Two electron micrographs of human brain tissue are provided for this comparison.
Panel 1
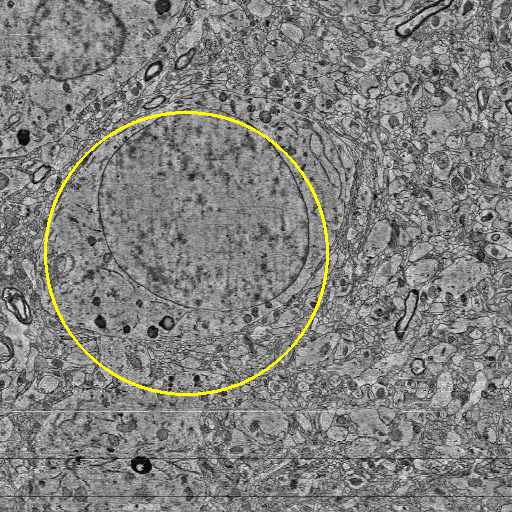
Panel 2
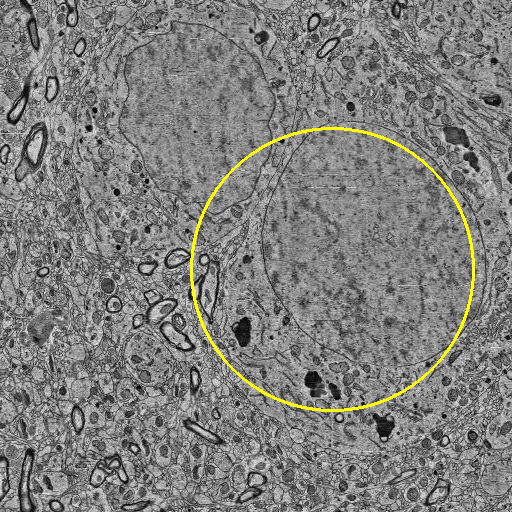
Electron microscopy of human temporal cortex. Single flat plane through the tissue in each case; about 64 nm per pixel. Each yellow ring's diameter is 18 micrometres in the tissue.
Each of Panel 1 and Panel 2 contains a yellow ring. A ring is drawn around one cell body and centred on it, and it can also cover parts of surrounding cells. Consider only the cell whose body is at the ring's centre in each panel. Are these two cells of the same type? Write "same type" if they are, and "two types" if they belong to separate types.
same type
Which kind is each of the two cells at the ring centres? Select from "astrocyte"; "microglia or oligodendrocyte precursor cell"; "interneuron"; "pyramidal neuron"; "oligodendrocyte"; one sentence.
Both the first and the second picture show a pyramidal neuron in the ring.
